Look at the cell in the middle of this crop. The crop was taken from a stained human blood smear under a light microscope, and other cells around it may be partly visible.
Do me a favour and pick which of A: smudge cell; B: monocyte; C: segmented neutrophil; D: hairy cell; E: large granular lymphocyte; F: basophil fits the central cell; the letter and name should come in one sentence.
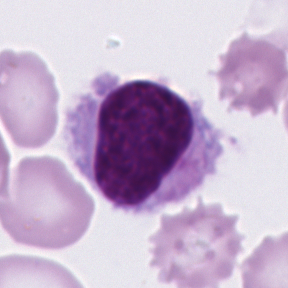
Option D is right in identifying the central cell as a hairy cell.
